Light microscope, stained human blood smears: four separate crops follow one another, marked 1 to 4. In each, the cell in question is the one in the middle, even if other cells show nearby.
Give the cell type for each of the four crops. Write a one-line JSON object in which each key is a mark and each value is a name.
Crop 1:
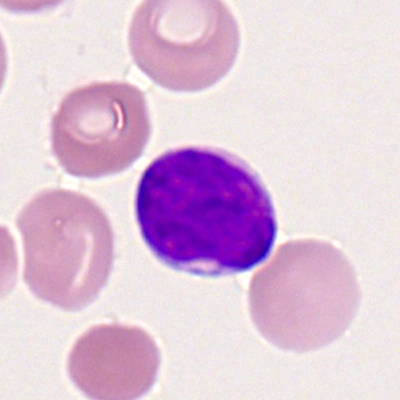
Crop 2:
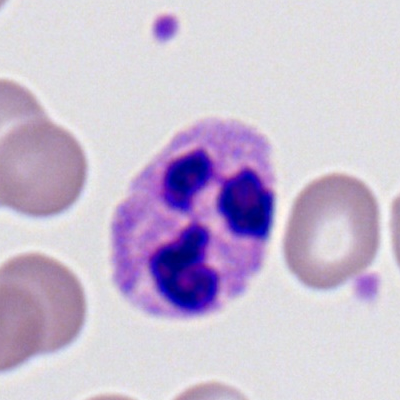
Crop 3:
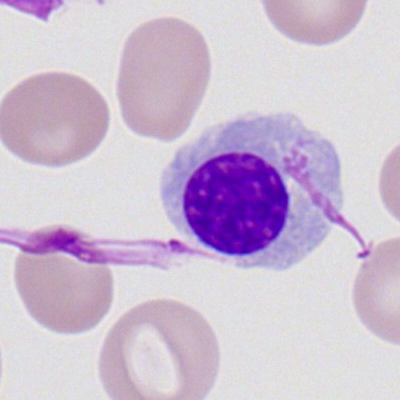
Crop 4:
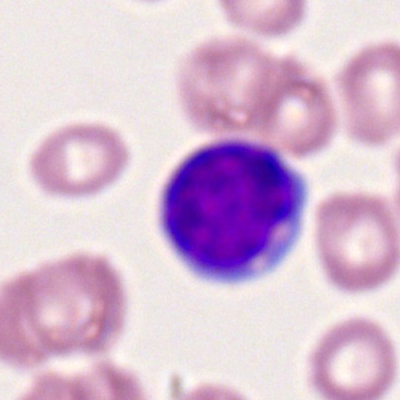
{"1": "lymphocyte", "2": "segmented neutrophil", "3": "erythroblast", "4": "lymphocyte"}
